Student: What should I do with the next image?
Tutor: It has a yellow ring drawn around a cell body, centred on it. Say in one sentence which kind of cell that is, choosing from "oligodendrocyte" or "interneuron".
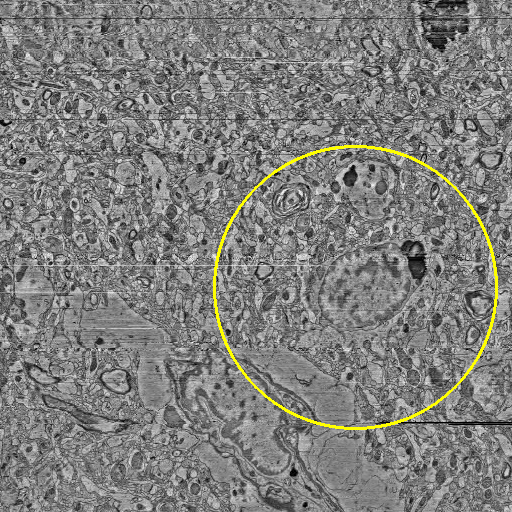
The ring's centre is occupied by an oligodendrocyte.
